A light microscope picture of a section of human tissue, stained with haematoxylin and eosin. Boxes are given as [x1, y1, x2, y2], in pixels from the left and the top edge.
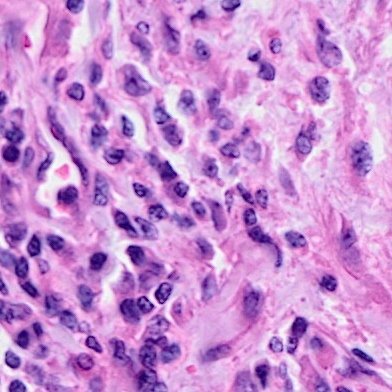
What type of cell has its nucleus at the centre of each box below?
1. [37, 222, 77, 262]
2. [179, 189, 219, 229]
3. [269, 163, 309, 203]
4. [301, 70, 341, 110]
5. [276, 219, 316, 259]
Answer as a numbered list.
1. lymphocyte
2. lymphocyte
3. fibroblast
4. macrophage or monocyte
5. lymphocyte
